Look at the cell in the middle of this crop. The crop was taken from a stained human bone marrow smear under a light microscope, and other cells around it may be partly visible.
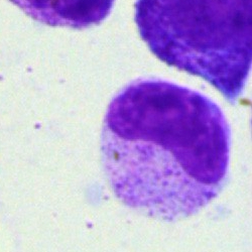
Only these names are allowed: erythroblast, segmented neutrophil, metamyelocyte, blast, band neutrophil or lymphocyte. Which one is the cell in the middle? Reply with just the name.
metamyelocyte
